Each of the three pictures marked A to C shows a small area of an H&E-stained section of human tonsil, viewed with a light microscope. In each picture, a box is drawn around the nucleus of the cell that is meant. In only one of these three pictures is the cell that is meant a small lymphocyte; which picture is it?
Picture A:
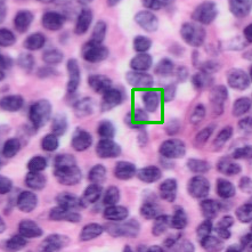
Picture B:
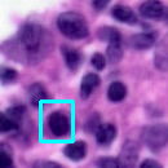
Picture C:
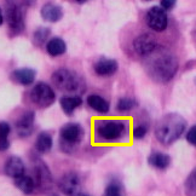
A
